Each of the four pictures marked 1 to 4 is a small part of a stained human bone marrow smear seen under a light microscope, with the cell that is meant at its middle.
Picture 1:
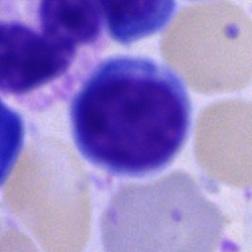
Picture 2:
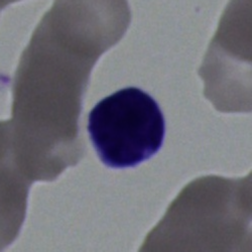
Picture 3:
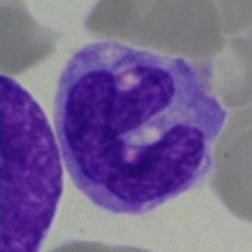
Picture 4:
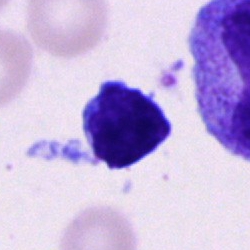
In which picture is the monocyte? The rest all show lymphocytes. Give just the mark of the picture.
3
